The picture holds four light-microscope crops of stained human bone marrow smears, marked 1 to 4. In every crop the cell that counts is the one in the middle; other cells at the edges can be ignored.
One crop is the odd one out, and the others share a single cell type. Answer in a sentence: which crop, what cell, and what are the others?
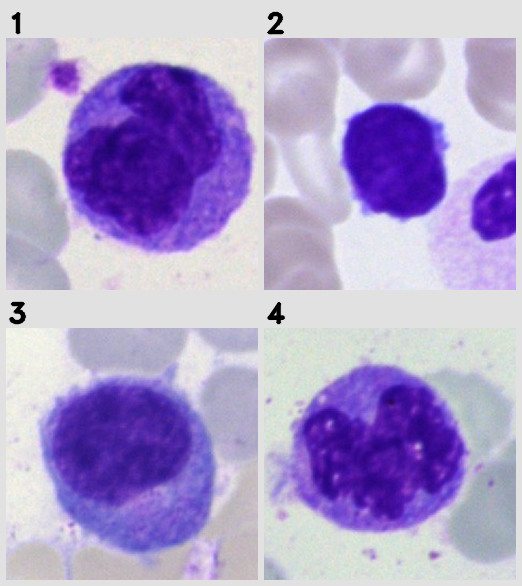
Of the crops, all show monocytes save crop 2, which shows a lymphocyte.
